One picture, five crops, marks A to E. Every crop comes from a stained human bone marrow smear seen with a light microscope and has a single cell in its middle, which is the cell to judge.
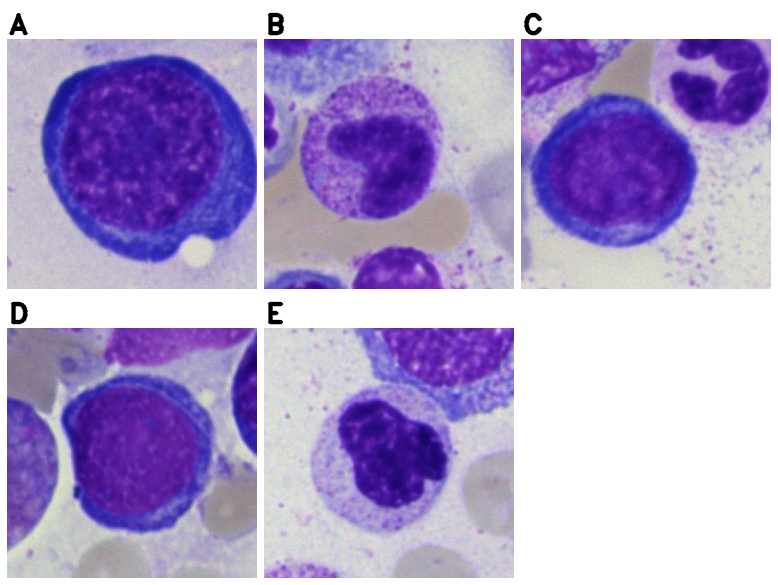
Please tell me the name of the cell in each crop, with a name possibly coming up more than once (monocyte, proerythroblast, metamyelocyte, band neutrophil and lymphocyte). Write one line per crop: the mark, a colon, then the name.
A: proerythroblast
B: metamyelocyte
C: proerythroblast
D: proerythroblast
E: band neutrophil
